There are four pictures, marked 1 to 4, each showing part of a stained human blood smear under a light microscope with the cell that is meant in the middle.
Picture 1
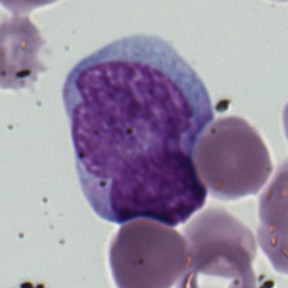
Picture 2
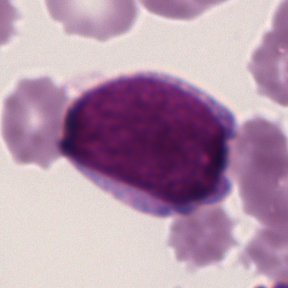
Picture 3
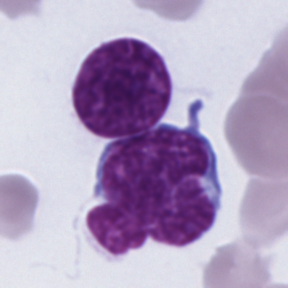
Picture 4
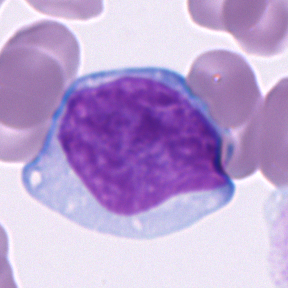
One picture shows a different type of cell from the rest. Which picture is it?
1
